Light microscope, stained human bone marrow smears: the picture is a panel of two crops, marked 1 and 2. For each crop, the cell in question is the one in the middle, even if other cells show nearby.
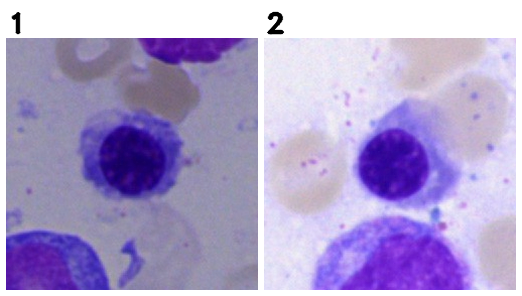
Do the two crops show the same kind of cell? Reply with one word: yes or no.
yes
